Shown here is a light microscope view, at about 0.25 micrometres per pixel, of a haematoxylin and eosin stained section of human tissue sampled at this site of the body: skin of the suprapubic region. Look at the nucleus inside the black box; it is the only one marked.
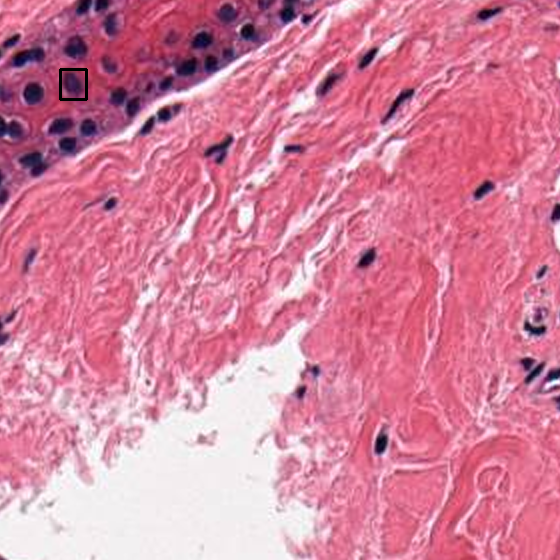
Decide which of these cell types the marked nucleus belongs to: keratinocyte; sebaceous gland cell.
keratinocyte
